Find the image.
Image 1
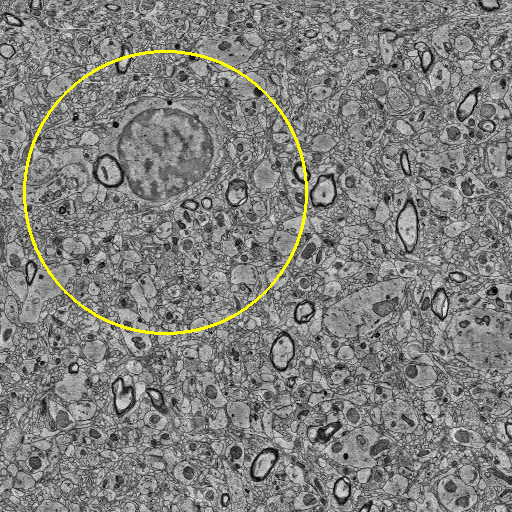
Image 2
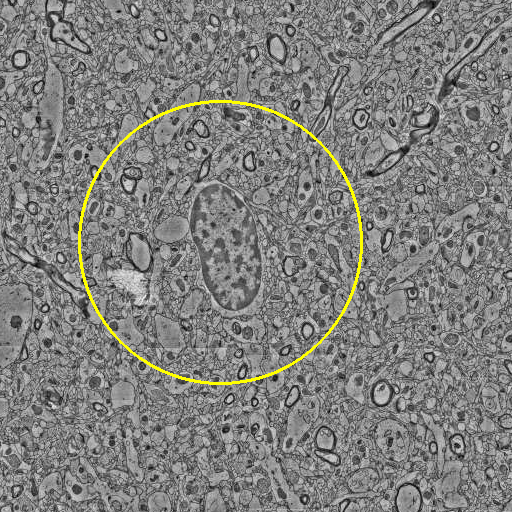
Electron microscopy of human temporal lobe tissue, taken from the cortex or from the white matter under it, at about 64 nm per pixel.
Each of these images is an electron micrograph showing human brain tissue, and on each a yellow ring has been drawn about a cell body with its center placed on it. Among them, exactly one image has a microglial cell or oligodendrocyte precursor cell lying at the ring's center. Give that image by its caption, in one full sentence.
The ring in Image 2 is centered on the cell the question describes.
